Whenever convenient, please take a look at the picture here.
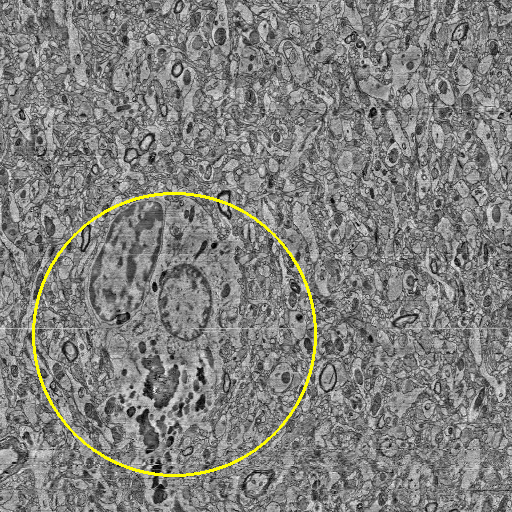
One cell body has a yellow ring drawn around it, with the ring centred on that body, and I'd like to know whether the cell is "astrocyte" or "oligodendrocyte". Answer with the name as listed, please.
astrocyte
